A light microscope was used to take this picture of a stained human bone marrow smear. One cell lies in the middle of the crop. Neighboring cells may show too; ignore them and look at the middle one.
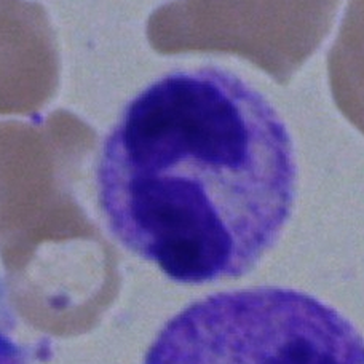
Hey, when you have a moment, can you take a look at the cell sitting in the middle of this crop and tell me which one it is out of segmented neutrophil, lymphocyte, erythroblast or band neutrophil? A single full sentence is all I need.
The identification for the central cell is a segmented neutrophil.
